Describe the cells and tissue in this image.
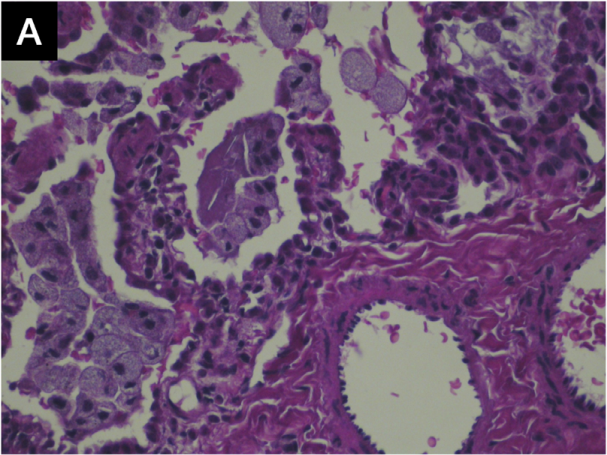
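Lung tissue in which the alveolar walls are lined by a crowded row of plump cuboidal pneumocytes with dark nuclei, rather than flat lining cells. The air spaces hold large rounded macrophages, some with pale, foamy cytoplasm, and a band of pink collagen runs through the lower part of the field.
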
